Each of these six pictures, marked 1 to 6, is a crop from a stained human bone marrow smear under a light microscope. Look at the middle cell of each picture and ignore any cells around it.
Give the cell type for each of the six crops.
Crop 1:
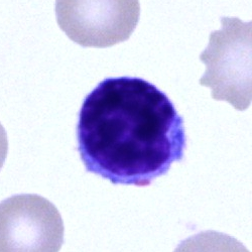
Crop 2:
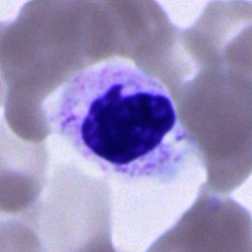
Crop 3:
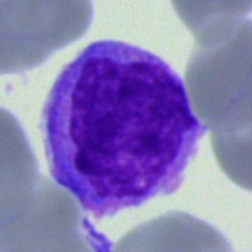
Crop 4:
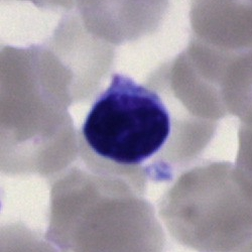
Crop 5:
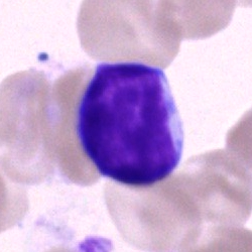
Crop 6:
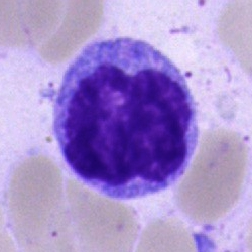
1: lymphocyte
2: neutrophil
3: monocyte
4: lymphocyte
5: lymphocyte
6: monocyte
